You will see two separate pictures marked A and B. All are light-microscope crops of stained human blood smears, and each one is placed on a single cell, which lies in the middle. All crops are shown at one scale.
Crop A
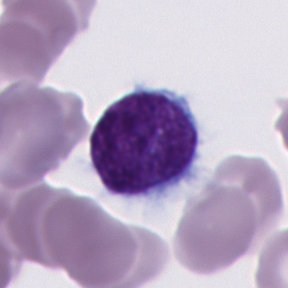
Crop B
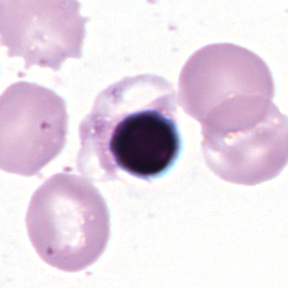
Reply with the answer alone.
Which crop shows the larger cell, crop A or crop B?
A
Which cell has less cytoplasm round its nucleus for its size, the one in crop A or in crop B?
A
